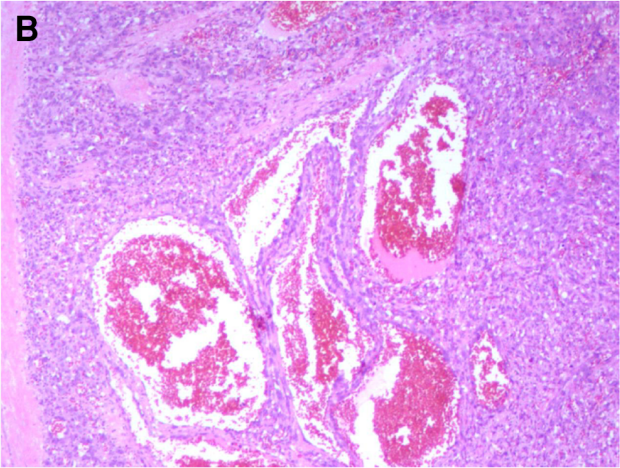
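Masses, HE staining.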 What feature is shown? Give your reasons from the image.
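Several large, thin-walled spaces are filled with red blood cells. The spaces lie within cellular tumour tissue. On this evidence: blood vessels.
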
